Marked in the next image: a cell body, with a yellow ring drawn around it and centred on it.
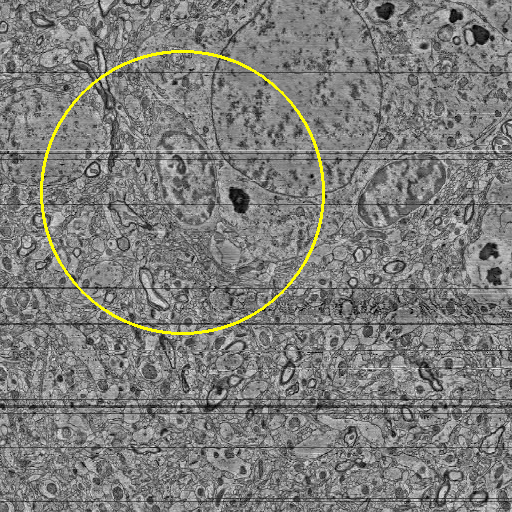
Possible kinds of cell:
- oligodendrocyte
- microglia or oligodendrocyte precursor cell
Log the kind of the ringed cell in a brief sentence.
The ringed cell body is that of an oligodendrocyte.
